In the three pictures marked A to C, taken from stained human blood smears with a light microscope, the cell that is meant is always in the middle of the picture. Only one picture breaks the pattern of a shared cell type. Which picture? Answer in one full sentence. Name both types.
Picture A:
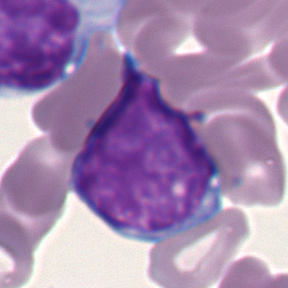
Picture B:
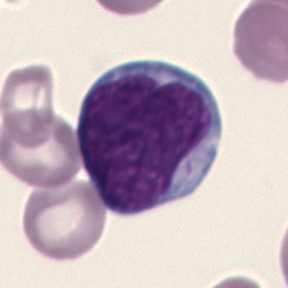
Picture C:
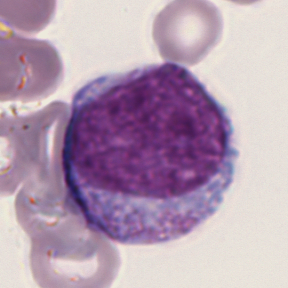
The others show myeloblasts, but picture C shows a promyelocyte.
